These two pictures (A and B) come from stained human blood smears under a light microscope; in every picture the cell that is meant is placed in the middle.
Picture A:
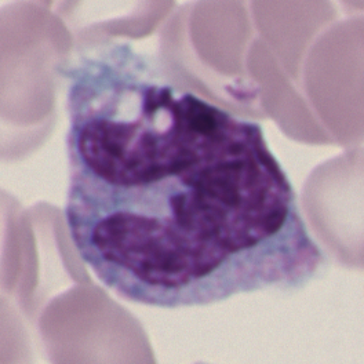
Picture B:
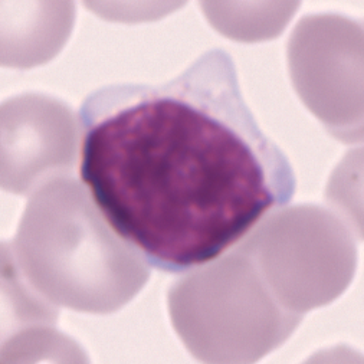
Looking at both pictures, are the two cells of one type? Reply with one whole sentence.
No. Picture A shows a monocyte, but picture B shows a large granular lymphocyte.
